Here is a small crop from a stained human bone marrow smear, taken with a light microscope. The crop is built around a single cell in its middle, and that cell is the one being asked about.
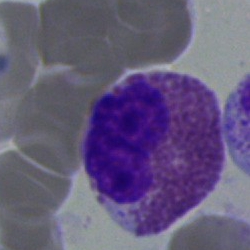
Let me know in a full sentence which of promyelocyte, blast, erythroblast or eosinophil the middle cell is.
The cell in the exact centre of the crop is an eosinophil.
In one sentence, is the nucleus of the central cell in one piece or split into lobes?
Round, oval or kidney-shaped, the nucleus is one compact mass.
